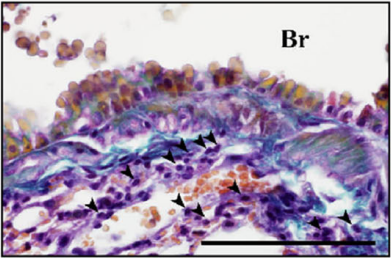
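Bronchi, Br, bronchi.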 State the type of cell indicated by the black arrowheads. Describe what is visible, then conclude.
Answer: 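Inflammatory cells. The arrowheads point to small cells with dark purple nuclei. These cells lie beneath the epithelial lining of the airway lumen. They are scattered in the wall below a blue-green fibrous layer.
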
